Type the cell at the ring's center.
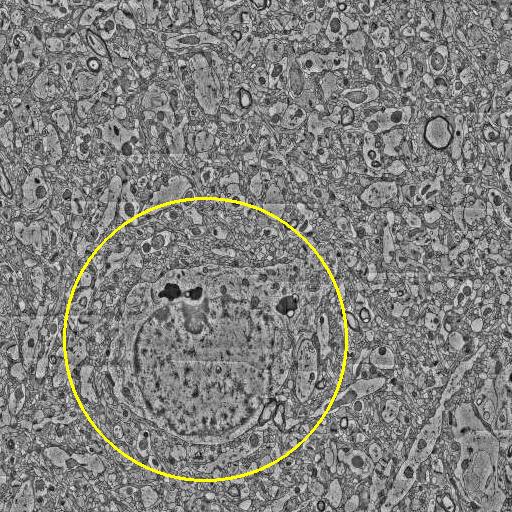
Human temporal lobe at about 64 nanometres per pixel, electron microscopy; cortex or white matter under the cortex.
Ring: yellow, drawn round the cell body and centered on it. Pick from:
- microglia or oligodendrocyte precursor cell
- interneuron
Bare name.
interneuron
